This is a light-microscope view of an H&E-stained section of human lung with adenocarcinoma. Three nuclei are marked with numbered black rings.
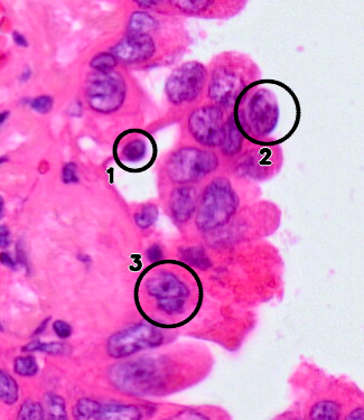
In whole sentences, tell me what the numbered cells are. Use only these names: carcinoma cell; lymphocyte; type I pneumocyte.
Cell 1 is a lymphocyte, cell 2 is a carcinoma cell and cell 3 is a carcinoma cell.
